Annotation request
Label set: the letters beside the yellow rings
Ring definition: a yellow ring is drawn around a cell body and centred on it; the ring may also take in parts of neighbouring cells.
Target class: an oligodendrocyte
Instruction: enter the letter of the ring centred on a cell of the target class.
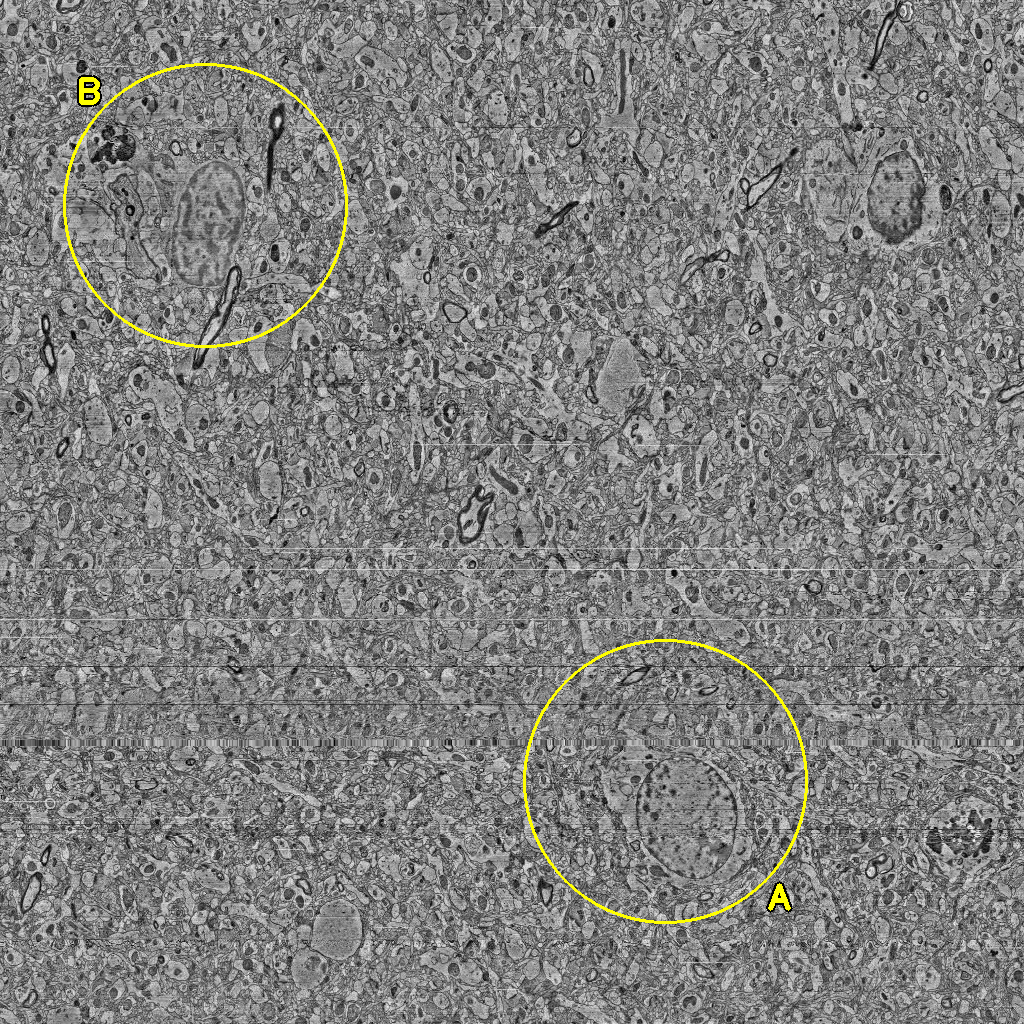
B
